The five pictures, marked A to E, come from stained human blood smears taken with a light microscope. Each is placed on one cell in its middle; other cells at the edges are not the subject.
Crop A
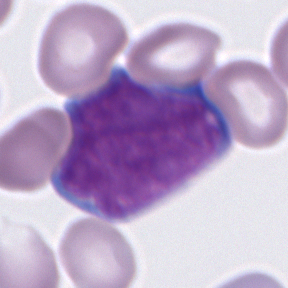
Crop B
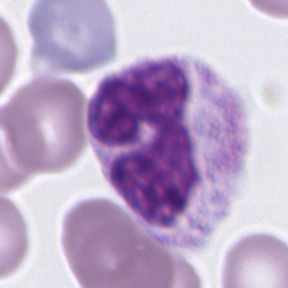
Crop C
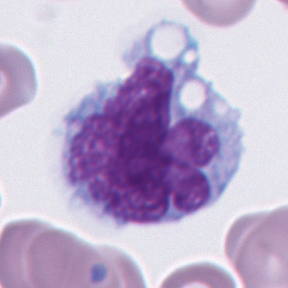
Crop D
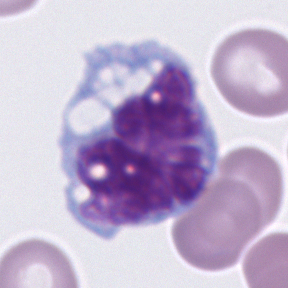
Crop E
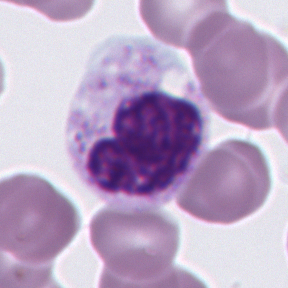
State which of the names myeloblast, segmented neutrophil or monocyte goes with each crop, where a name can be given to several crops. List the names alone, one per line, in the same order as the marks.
myeloblast
segmented neutrophil
monocyte
monocyte
segmented neutrophil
